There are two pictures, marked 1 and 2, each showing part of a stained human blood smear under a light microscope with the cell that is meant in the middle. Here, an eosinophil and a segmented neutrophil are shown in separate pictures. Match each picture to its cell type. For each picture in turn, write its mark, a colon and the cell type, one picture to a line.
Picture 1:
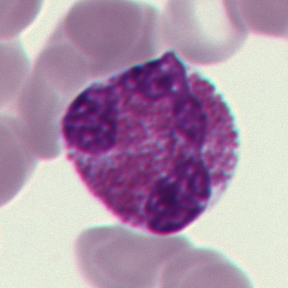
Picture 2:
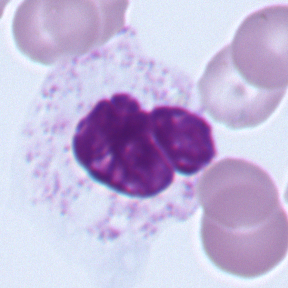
1: eosinophil
2: segmented neutrophil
